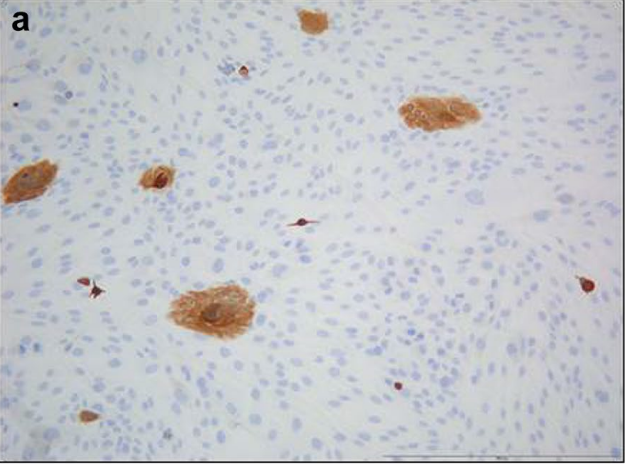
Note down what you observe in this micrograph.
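The brown cells vary in size: some are large, broad, flattened polygonal cells with a single rounded central nucleus and abundant cytoplasm, others are small, rounded or angular cells with a few short projections. The surrounding unstained cells are closely packed, with oval to elongated pale blue nuclei aligned in streams, giving a spindle-shaped, swirling arrangement. The brown cells lie singly, not in clusters, scattered across the field.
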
